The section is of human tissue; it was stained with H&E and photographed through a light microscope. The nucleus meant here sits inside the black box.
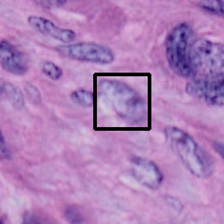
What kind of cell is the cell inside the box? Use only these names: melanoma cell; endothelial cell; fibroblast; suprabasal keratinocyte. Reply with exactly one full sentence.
As for its identity, the cell inside the box is a fibroblast.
